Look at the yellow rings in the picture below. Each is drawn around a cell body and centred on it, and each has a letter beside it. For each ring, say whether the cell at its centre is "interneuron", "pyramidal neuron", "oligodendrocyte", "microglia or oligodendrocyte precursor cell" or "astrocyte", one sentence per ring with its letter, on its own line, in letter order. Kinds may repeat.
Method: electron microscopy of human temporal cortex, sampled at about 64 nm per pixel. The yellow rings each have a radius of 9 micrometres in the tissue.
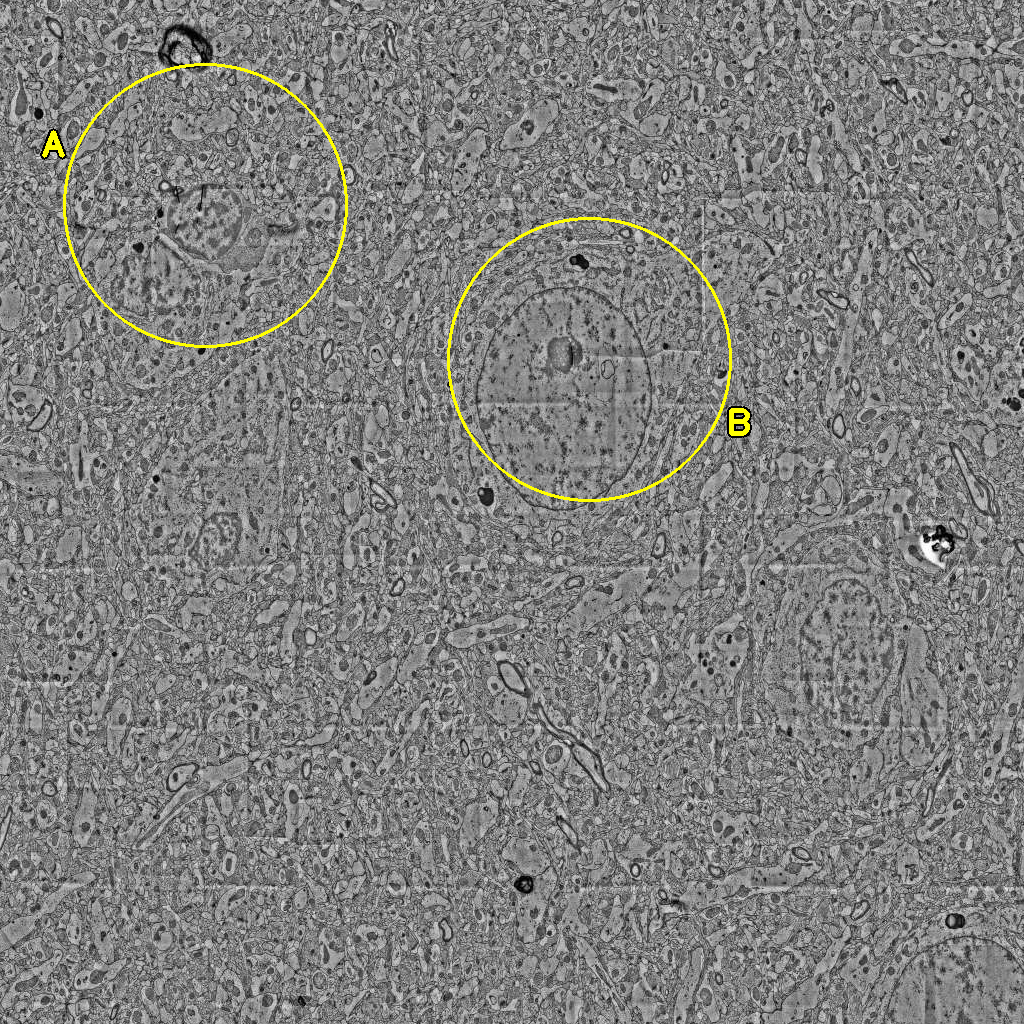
The centred cell of ring A is an oligodendrocyte.
The centred cell of ring B is a pyramidal neuron.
